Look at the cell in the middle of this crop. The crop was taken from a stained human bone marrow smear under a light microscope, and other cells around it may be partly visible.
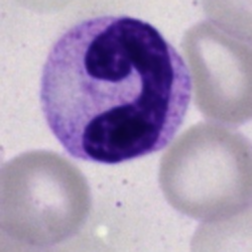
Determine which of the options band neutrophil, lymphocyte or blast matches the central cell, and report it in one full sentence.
The cell that lies at the centre of the crop is a band neutrophil.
